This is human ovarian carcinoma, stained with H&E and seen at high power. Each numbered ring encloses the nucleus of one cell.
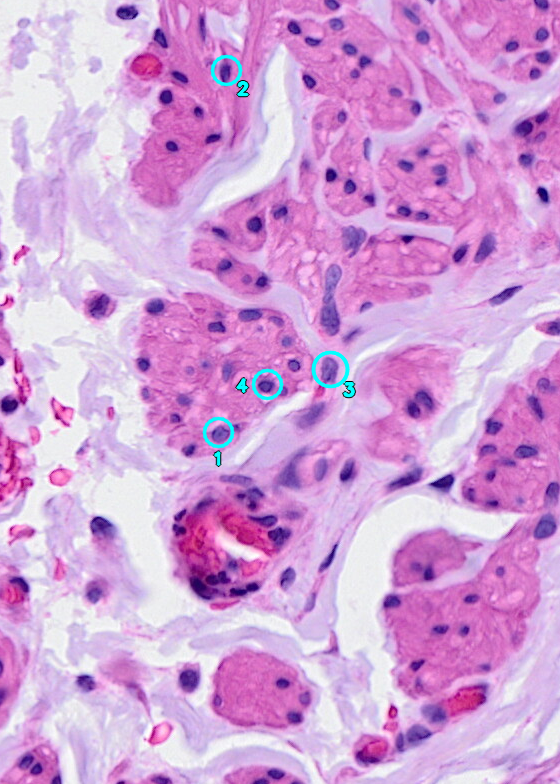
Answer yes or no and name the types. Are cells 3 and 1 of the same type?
No, cell 3 is an endothelial cell; cell 1, by contrast, is a smooth muscle cell.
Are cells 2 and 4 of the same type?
Yes, cells 2 and 4 are both smooth muscle cells and thus of one type.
